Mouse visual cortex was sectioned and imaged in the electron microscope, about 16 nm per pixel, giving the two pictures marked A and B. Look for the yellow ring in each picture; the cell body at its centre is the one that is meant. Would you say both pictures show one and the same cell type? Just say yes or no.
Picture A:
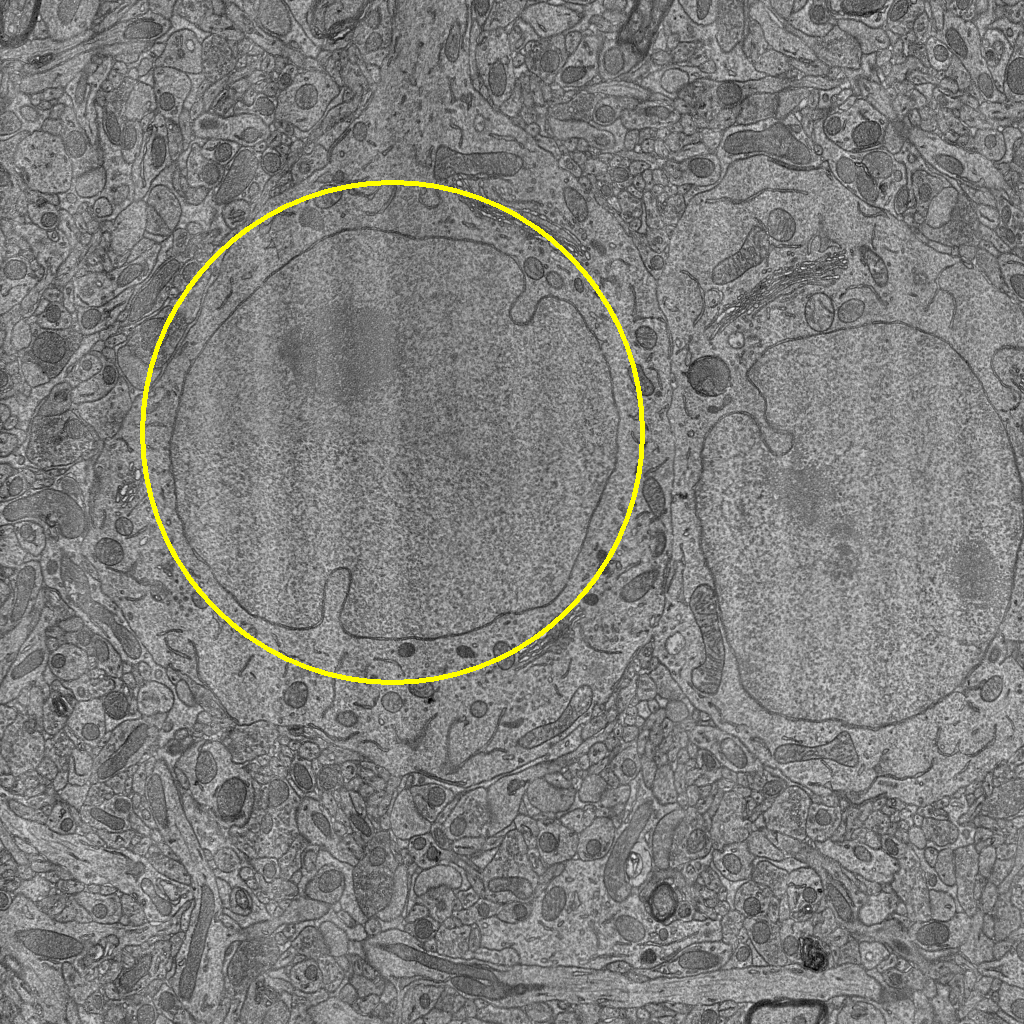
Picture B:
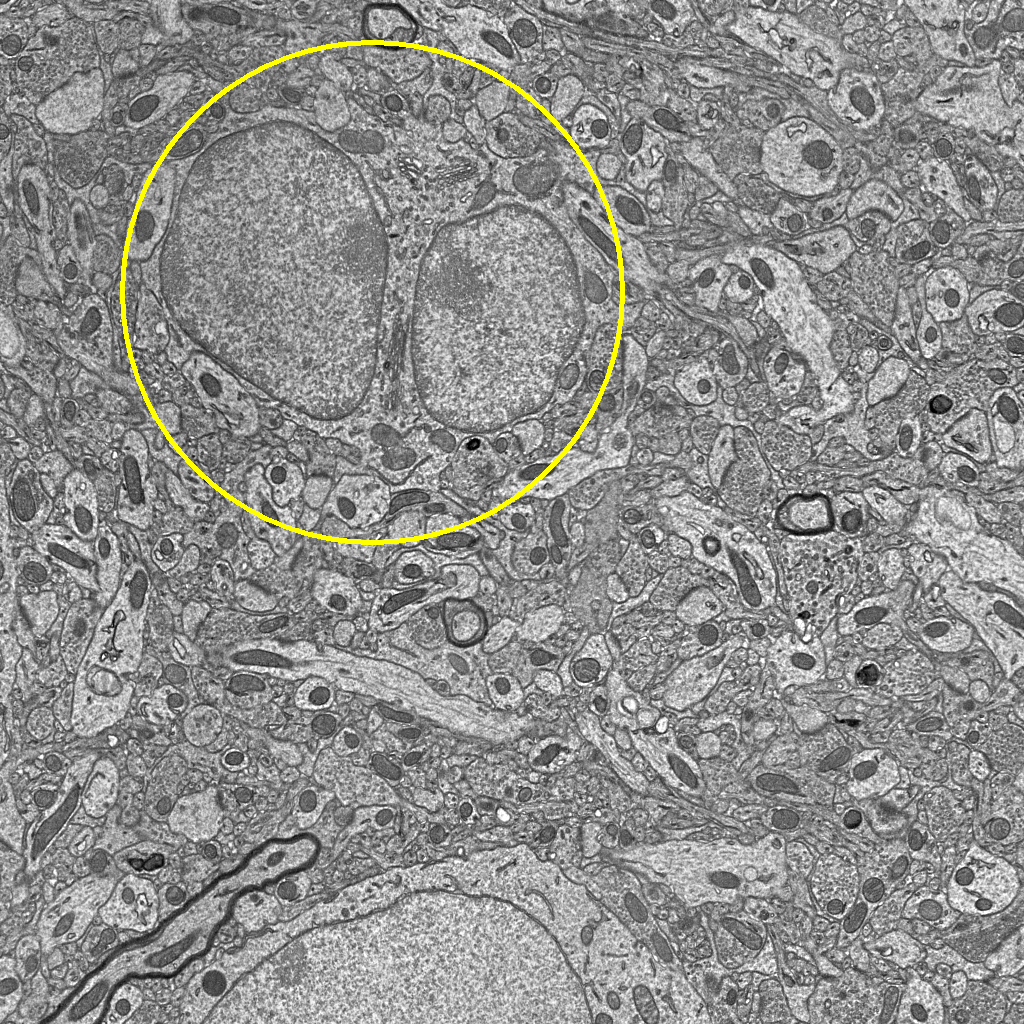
no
